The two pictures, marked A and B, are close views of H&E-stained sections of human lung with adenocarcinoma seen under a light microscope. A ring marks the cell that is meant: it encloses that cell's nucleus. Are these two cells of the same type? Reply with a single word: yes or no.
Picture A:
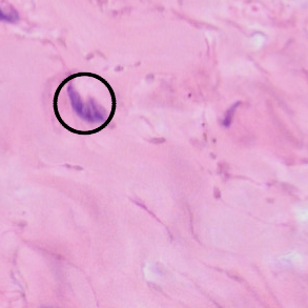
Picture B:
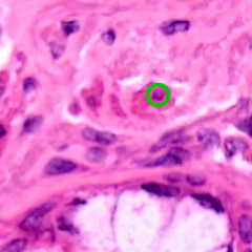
no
